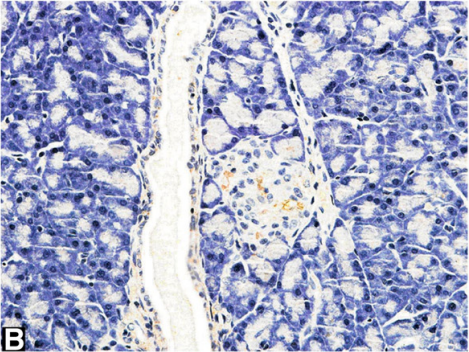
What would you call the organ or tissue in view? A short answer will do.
pancreas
